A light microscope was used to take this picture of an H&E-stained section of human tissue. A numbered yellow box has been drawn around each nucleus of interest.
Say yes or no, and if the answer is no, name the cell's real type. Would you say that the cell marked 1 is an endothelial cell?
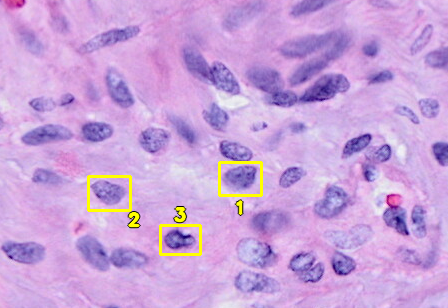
No, it is a fibroblast.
